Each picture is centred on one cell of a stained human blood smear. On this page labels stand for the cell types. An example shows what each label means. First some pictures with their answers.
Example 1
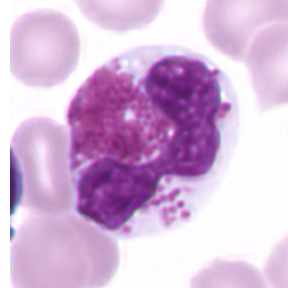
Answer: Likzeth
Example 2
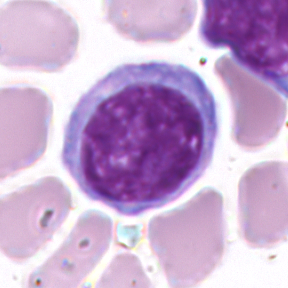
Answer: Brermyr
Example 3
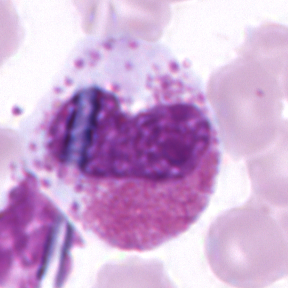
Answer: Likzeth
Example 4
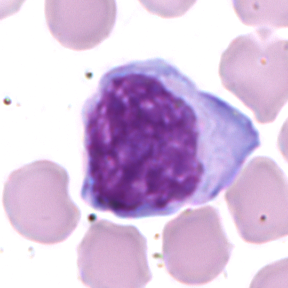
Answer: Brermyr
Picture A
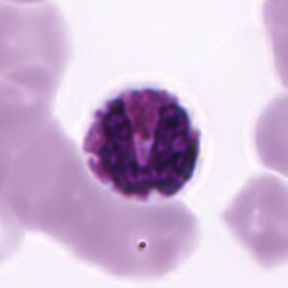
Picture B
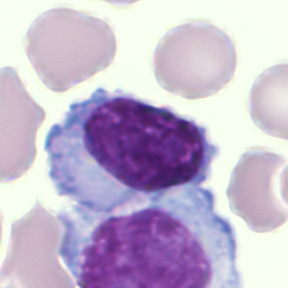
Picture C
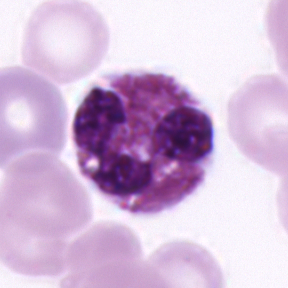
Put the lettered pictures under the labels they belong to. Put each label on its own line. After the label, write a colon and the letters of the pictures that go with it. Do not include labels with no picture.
Likzeth: A, C
Brermyr: B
